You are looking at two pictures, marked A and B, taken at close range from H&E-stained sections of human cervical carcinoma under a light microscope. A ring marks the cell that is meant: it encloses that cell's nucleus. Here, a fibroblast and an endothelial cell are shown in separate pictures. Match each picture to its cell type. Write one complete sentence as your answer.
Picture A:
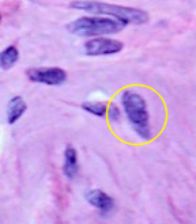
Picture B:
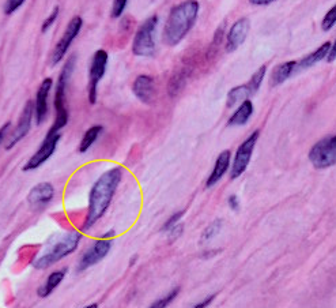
It is picture A that shows a fibroblast, and picture B that shows an endothelial cell.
